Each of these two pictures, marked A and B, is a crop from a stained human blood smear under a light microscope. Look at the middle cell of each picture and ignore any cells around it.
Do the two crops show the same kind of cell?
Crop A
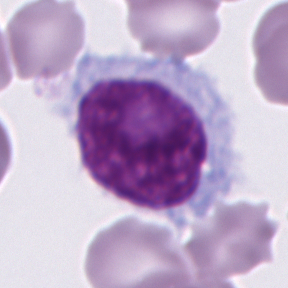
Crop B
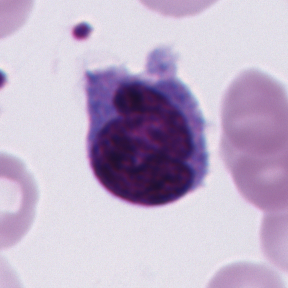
no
